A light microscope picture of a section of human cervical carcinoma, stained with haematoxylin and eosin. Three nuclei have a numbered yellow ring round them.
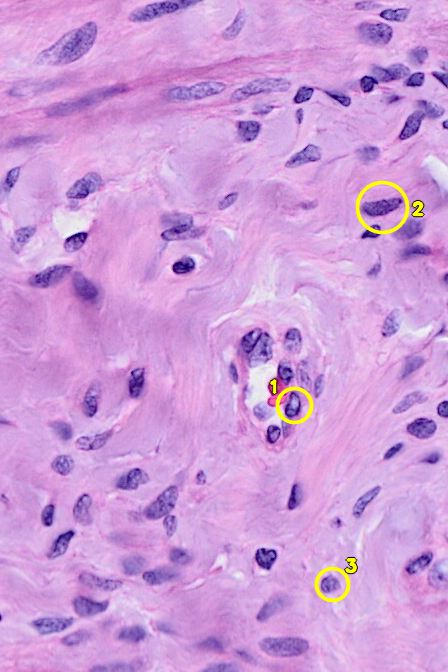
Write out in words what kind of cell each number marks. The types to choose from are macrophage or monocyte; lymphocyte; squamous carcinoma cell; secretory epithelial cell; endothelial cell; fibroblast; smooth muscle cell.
Cell 1 is an endothelial cell, cell 2 is a fibroblast and cell 3 is a fibroblast.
